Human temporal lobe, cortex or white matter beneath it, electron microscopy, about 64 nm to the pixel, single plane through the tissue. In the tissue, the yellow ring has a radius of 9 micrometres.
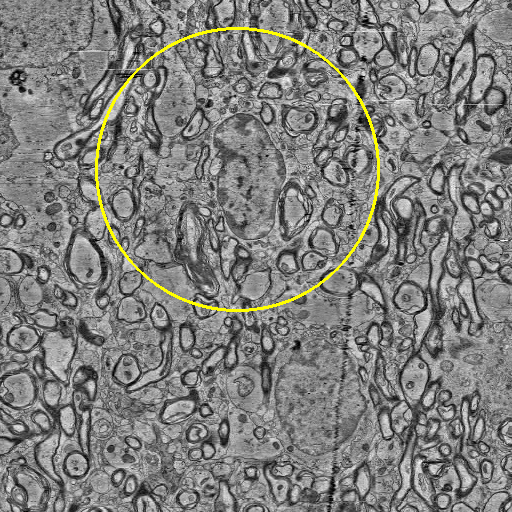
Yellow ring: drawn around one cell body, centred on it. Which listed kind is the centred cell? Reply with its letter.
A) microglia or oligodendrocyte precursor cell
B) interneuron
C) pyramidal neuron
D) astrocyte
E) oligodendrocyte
A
